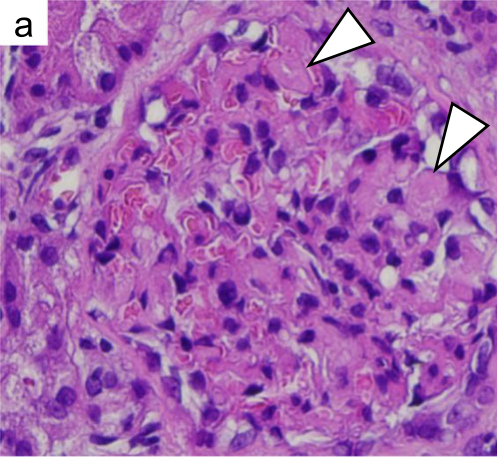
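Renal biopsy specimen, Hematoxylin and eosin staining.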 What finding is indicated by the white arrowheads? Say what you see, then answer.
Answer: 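Eosinophilic and amorphous deposits. Pink, structureless material sits where the arrowheads point inside the glomerulus. The material lacks nuclei and fibrillar texture.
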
